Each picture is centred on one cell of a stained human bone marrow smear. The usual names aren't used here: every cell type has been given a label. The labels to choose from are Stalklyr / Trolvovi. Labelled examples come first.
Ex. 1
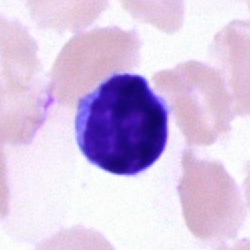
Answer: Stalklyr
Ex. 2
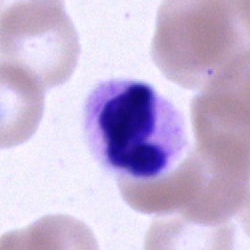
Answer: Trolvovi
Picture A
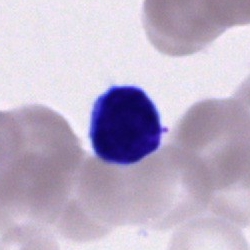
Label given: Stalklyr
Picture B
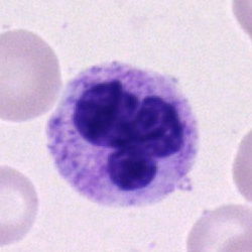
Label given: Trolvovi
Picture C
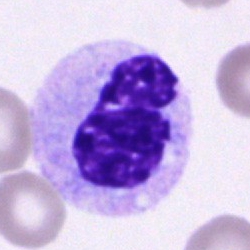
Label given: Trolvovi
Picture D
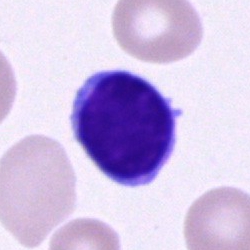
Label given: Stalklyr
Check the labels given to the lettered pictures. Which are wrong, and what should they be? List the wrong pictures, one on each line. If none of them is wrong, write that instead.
No label is wrong.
